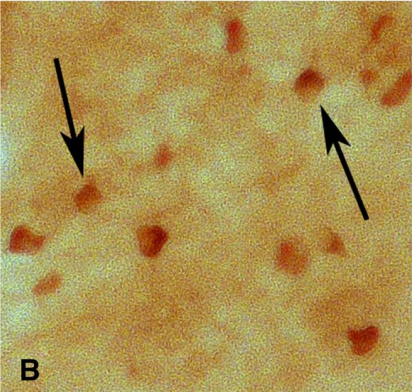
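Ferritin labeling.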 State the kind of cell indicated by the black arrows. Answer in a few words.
oligodendrocytes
